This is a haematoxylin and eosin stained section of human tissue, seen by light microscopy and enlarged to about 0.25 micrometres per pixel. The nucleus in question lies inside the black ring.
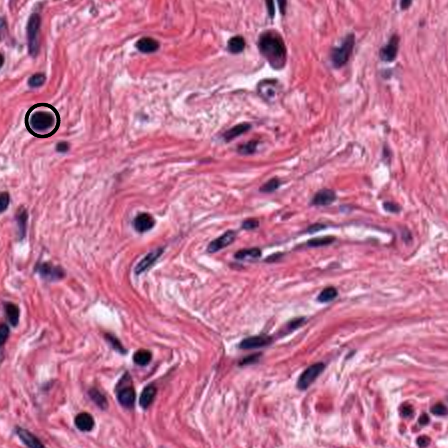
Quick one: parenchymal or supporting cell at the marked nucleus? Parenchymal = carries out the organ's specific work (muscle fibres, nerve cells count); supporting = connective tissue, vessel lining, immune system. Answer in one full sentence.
A supporting cell contains the marked nucleus.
